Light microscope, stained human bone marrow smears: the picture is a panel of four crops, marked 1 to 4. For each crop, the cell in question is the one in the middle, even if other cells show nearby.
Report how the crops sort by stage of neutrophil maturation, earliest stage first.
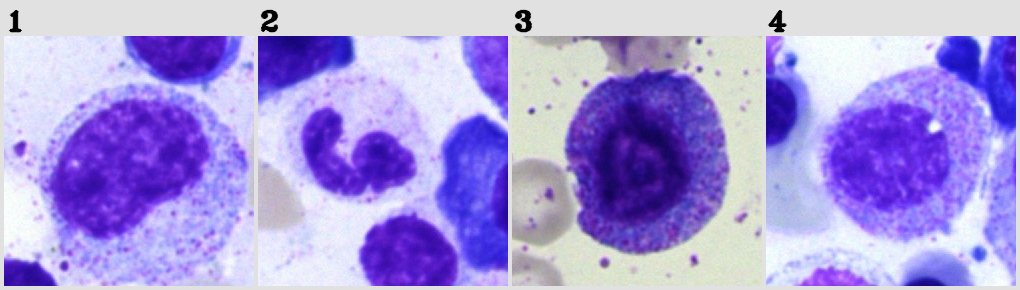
3, 4, 1, 2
